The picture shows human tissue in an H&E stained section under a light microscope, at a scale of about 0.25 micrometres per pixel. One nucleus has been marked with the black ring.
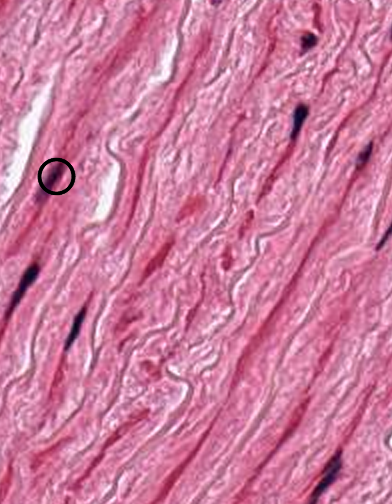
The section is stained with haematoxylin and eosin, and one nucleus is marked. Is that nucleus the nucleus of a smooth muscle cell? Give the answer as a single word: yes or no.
yes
